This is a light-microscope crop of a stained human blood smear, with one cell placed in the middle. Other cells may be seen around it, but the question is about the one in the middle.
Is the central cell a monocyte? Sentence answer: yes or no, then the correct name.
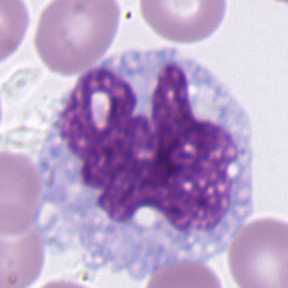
Yes, the middle cell is properly termed a monocyte.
